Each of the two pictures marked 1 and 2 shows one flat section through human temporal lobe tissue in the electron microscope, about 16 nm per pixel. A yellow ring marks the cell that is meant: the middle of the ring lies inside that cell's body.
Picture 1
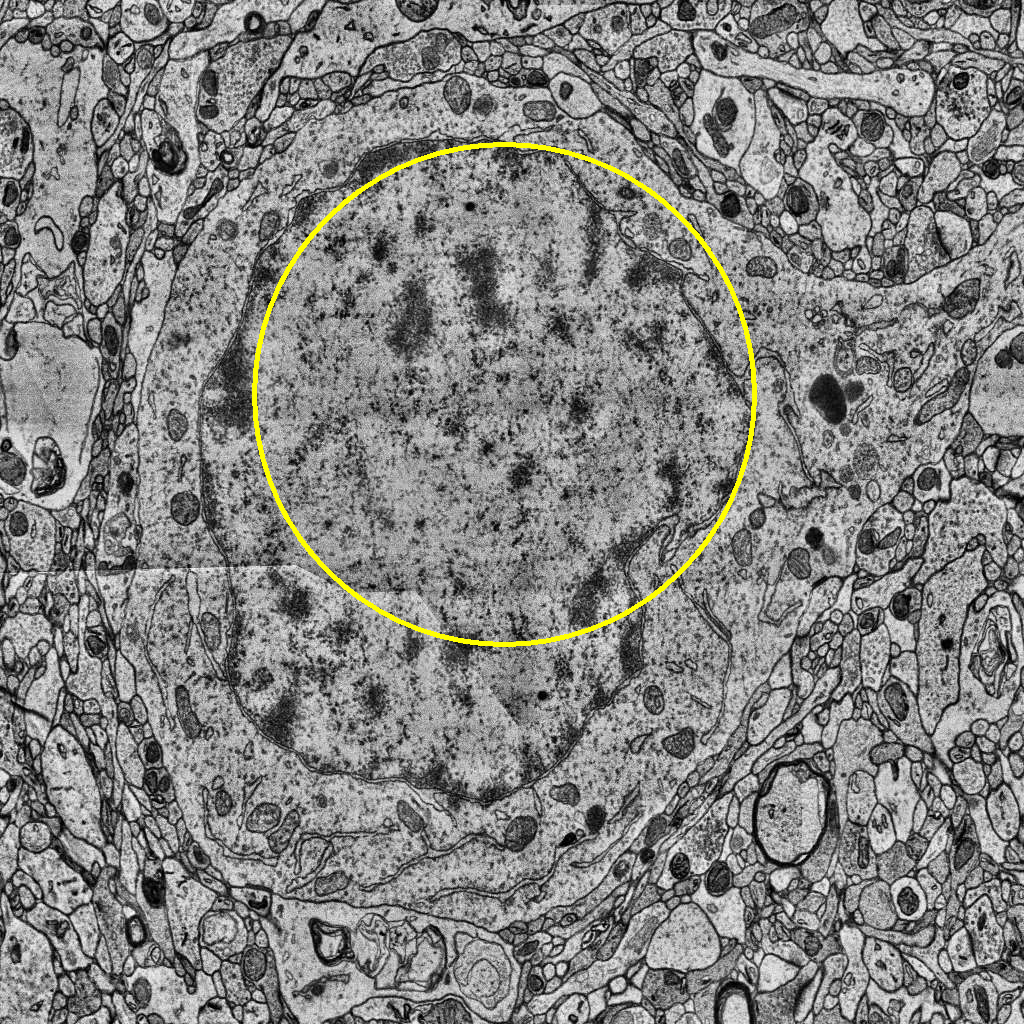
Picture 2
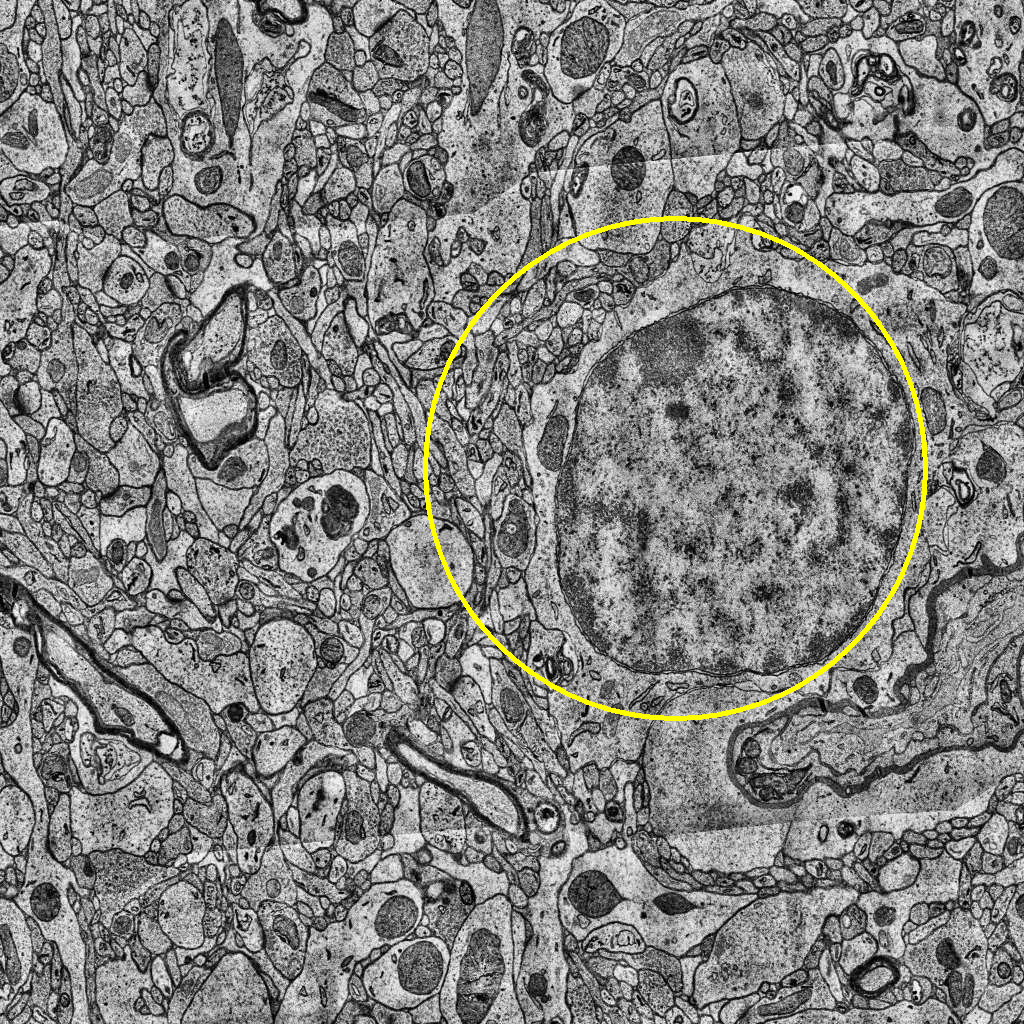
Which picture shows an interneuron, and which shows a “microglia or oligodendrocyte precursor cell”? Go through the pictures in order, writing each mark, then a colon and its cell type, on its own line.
1: interneuron
2: microglia or oligodendrocyte precursor cell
